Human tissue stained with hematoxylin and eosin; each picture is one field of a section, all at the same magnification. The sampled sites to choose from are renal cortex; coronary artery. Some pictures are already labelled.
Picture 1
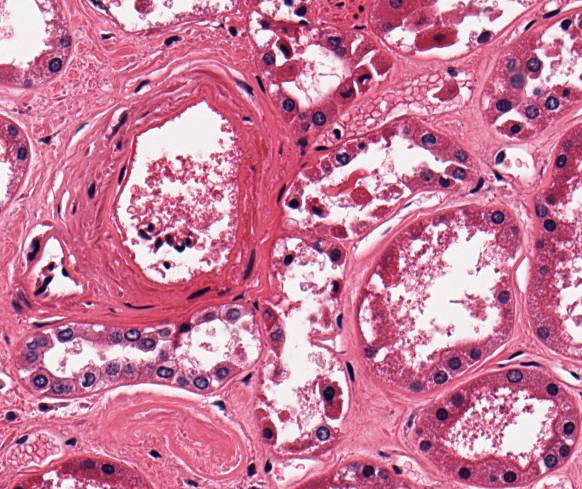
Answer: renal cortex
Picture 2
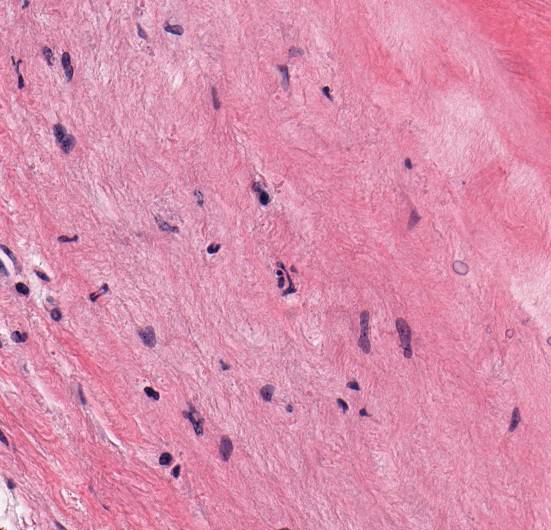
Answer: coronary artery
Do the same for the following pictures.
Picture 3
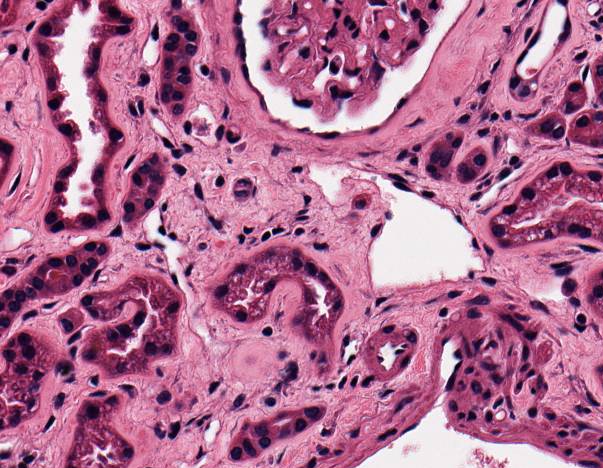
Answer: renal cortex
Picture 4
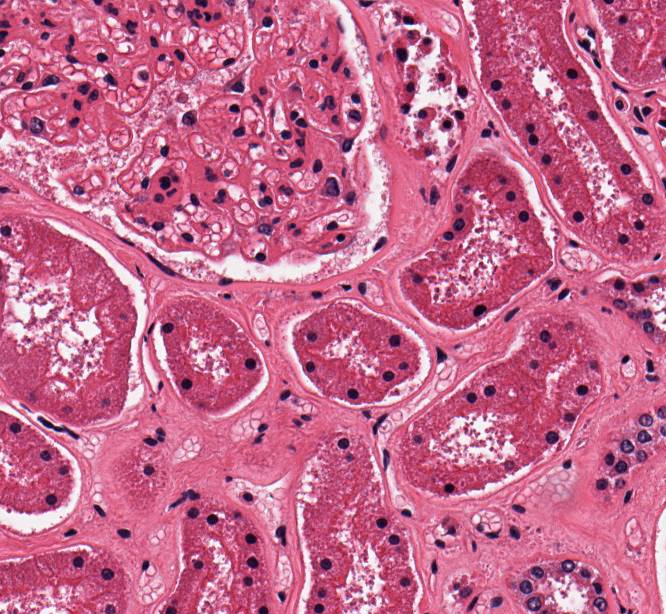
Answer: renal cortex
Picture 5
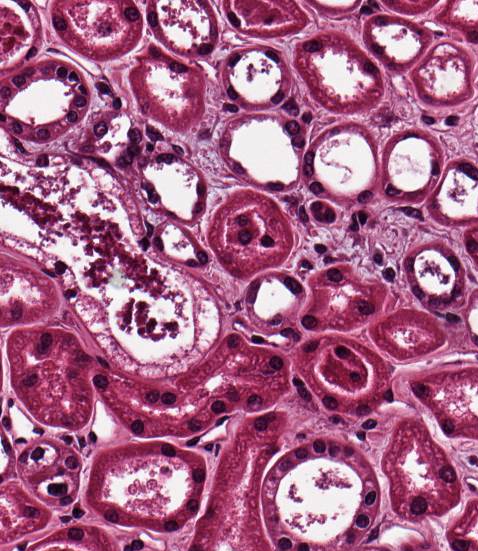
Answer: renal cortex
